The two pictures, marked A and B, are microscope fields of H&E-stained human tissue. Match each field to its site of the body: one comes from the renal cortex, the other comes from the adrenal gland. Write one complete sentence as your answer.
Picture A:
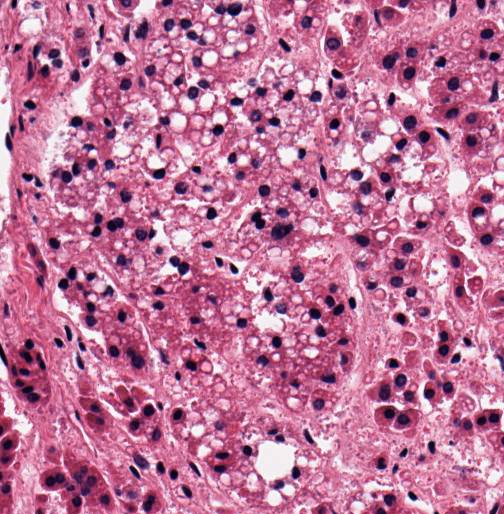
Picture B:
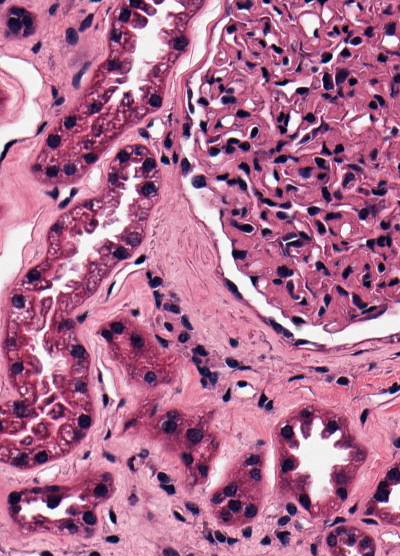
It is picture A that comes from the adrenal gland, and picture B that comes from the renal cortex.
